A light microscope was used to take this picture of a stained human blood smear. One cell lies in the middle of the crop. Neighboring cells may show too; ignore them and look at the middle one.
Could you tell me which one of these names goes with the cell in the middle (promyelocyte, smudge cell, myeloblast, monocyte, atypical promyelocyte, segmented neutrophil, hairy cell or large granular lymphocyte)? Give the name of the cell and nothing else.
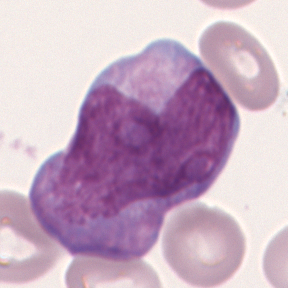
atypical promyelocyte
